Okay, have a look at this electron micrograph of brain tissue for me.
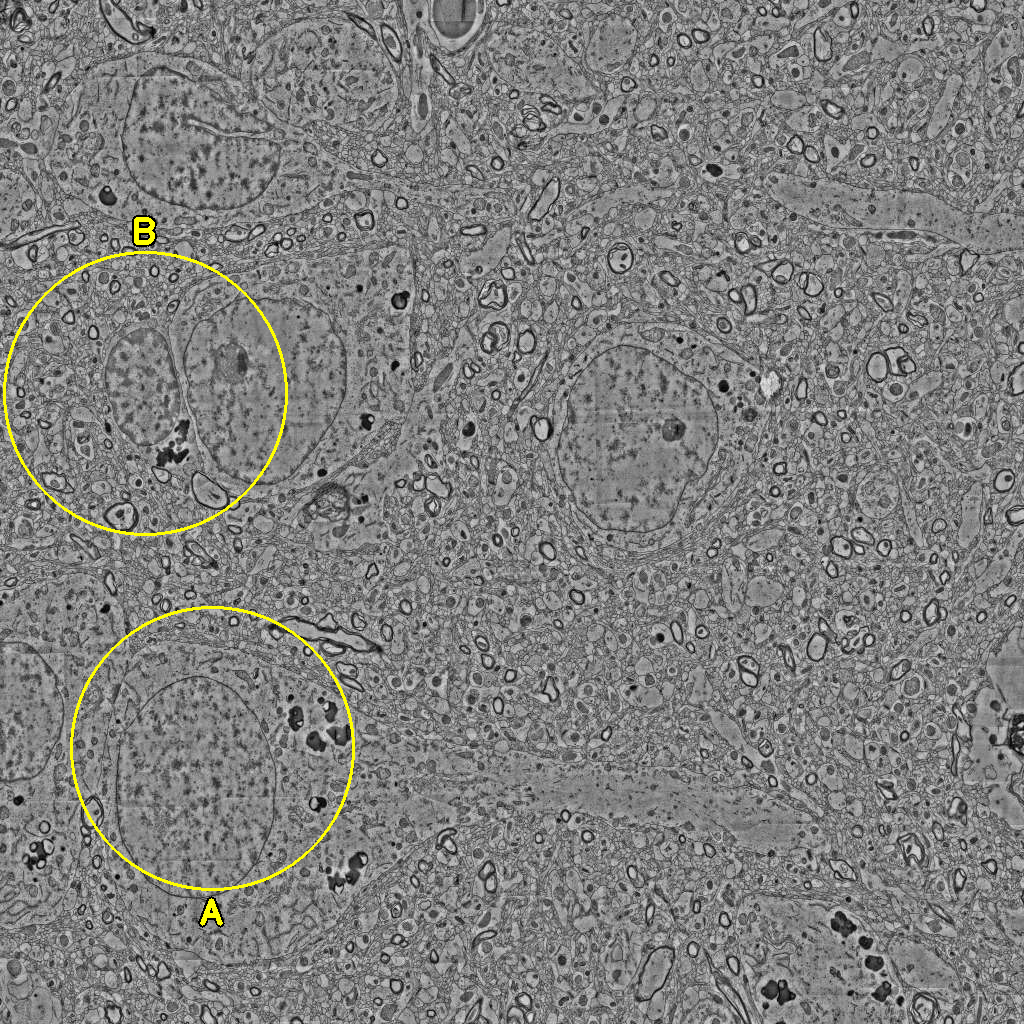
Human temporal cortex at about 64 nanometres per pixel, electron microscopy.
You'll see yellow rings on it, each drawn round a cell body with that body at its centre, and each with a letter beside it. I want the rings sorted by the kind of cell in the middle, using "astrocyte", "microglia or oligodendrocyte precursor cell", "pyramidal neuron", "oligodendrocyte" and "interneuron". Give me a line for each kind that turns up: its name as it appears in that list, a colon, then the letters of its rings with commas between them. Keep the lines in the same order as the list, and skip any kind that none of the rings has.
pyramidal neuron: A
oligodendrocyte: B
